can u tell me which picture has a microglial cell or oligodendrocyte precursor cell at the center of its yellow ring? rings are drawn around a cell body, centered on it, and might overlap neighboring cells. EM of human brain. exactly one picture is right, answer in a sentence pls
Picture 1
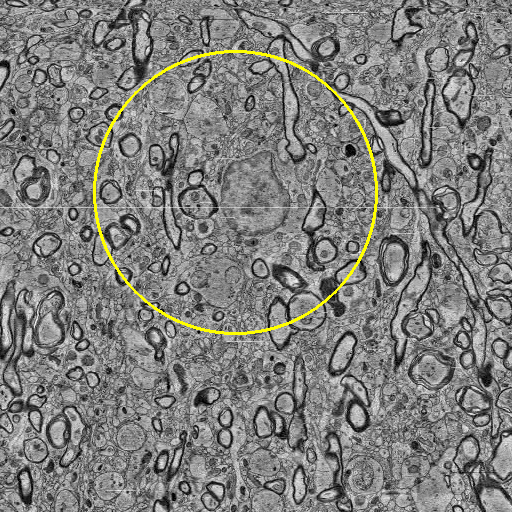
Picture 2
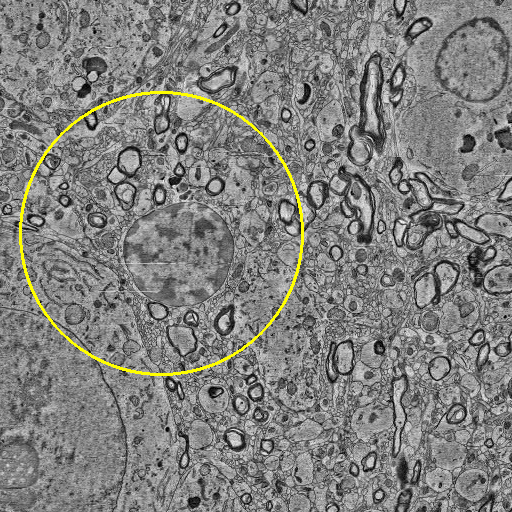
Picture 2 is the one.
